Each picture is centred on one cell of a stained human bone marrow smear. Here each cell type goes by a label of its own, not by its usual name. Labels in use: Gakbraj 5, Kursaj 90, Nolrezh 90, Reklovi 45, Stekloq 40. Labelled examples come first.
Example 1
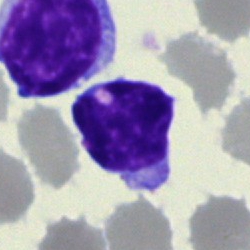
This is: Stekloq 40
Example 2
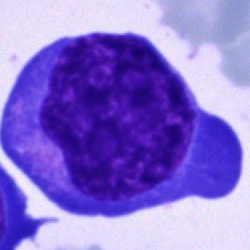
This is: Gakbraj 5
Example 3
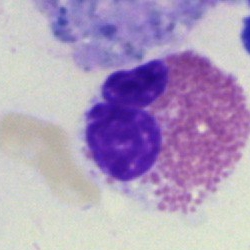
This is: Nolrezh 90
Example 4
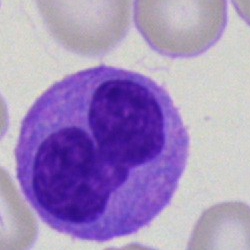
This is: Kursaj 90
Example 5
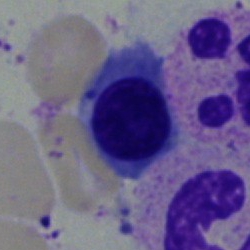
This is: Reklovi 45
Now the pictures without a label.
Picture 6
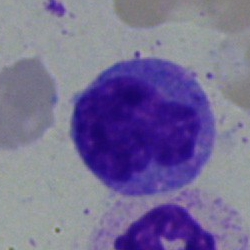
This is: Kursaj 90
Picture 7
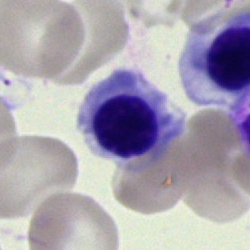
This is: Reklovi 45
